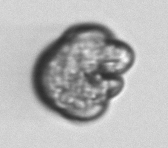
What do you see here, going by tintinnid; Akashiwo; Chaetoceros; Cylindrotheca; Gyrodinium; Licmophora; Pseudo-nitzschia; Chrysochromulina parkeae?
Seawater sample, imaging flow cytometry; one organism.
I see Akashiwo.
